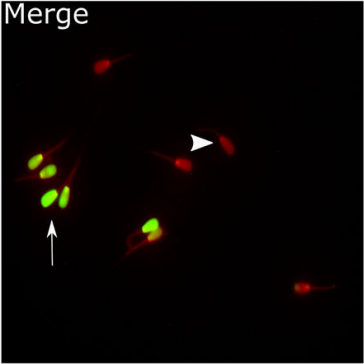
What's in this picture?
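Scattered sperm, each with an oval head and a long thin tail, lie on a dark background. Several heads, partly in closely spaced groups, fluoresce green-yellow where green overlaps red, while other heads are red only. Tails and midpieces show faint red along their length.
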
